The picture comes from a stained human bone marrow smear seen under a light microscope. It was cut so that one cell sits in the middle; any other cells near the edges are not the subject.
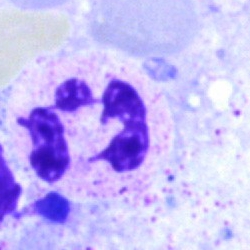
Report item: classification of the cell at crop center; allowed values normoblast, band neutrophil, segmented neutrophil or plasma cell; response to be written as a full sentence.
The central element of this crop is a cell, namely a segmented neutrophil.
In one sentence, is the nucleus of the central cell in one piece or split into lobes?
If you check the nucleus, you will find it split into two or more lobes.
